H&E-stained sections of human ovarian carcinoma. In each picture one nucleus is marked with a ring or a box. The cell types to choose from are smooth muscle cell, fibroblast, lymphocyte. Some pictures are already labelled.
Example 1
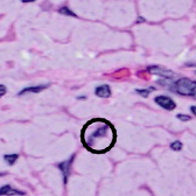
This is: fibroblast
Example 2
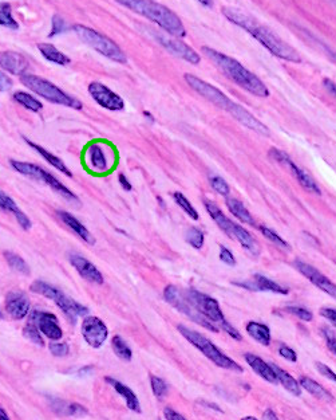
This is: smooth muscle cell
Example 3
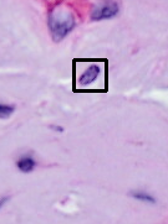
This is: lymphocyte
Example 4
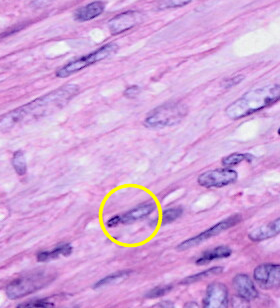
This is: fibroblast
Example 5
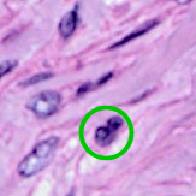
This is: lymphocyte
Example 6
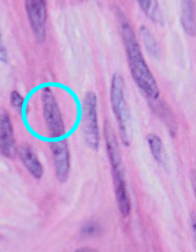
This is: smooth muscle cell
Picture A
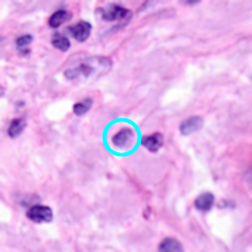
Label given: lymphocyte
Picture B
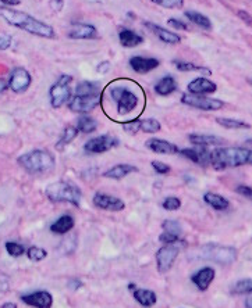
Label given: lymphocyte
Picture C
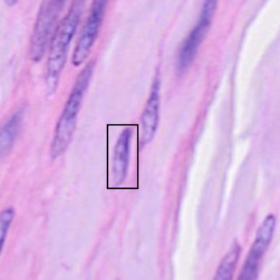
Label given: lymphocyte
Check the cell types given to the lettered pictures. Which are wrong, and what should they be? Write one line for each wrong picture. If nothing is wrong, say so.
C: not lymphocyte but smooth muscle cell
